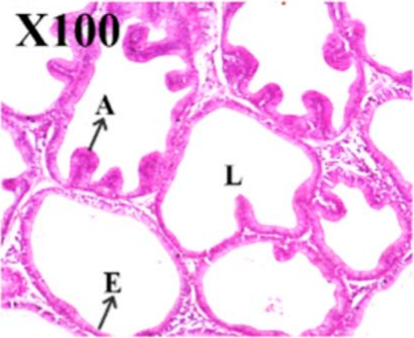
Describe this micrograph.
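This is prostate gland tissue made of many rounded acini, each lined by a single pink layer of epithelial cells around a wide, clear lumen. The epithelium throws small folds that project into the lumens. Between the acini lies only a thin band of loose pale stroma, so the glands sit closely packed.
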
